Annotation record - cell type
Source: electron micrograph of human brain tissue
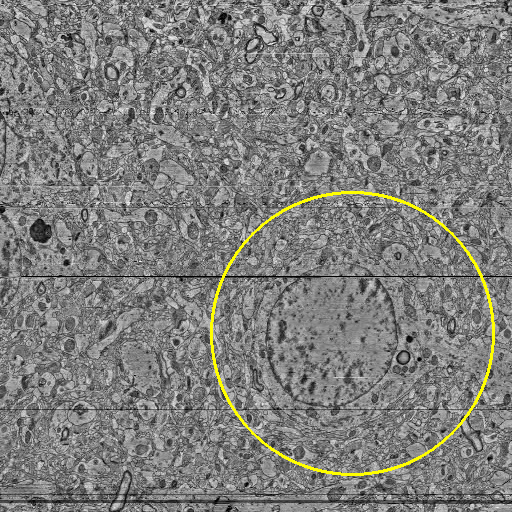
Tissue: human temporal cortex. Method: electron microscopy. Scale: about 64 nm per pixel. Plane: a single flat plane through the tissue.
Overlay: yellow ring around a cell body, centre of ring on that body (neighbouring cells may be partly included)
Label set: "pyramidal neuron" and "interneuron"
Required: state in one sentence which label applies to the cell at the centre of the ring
This cell should be labelled as a pyramidal neuron.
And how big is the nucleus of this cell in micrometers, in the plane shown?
Approximately 10 by 8 micrometers in this plane.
